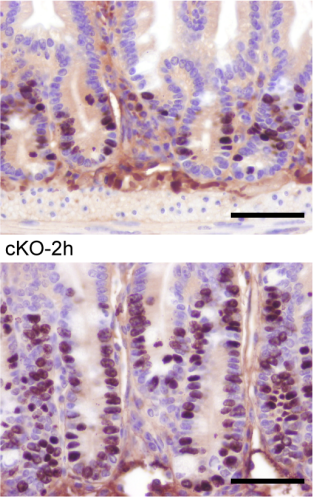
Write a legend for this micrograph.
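These are crypts of the small intestinal mucosa lined by columnar epithelial cells with oval nuclei. Many nuclei in the lower crypt epithelium are stained dark brown, while cells nearer the villi carry only blue nuclei. In the lower image the crypts are longer and brown nuclei are far more numerous, filling much of the crypt lining.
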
